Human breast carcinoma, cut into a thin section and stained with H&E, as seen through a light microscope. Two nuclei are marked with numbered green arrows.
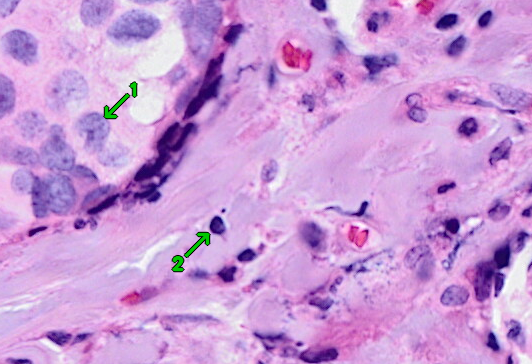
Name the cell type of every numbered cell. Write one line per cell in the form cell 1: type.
cell 1: carcinoma cell
cell 2: lymphocyte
